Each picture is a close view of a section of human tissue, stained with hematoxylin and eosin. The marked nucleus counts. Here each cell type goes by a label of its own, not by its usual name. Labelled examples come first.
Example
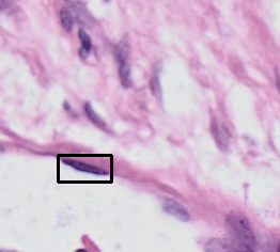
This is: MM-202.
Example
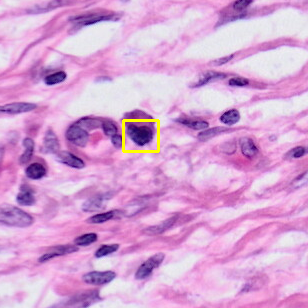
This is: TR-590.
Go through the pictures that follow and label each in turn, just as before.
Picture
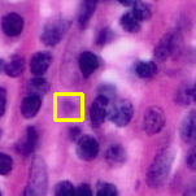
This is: MM-202.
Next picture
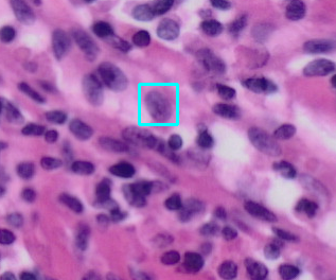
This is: MM-202.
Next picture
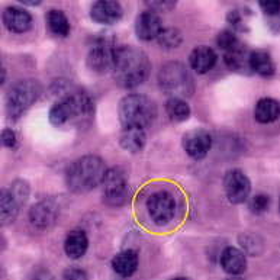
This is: TR-590.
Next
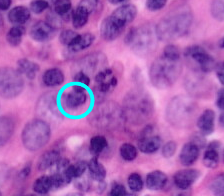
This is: MM-202.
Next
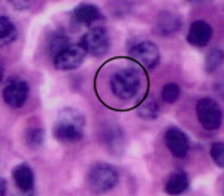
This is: TR-590.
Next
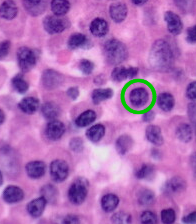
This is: TR-590.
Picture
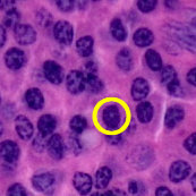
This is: TR-590.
